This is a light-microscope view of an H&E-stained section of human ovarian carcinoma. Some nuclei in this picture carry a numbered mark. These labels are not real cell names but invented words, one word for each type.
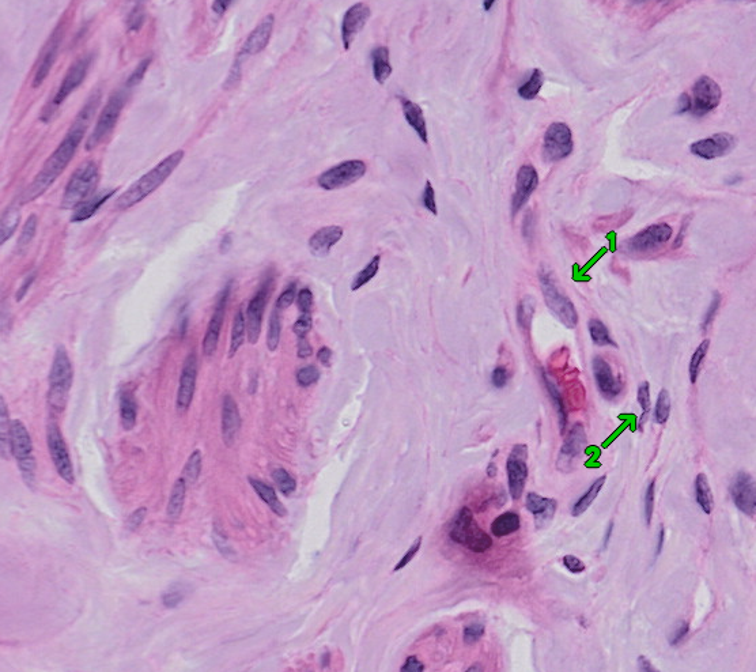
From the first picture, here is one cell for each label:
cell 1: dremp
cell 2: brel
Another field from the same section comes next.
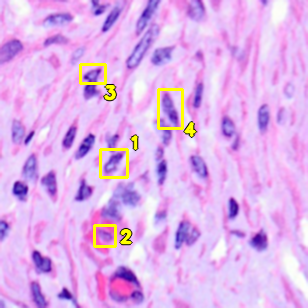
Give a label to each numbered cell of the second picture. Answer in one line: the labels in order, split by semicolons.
brel; dremp; brel; brel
